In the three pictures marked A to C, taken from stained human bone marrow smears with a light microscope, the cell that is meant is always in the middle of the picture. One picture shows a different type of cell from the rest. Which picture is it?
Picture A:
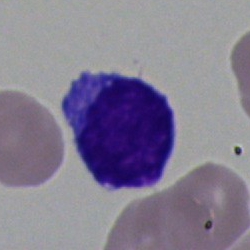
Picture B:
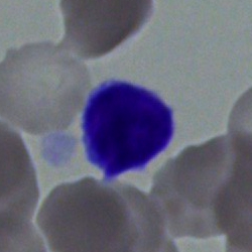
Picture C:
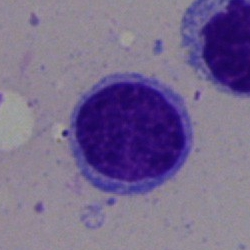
A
